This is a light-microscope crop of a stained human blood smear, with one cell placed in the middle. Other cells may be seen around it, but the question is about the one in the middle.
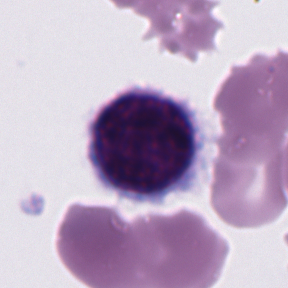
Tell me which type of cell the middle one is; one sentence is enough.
Where the crop is centred, there is a hairy cell.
